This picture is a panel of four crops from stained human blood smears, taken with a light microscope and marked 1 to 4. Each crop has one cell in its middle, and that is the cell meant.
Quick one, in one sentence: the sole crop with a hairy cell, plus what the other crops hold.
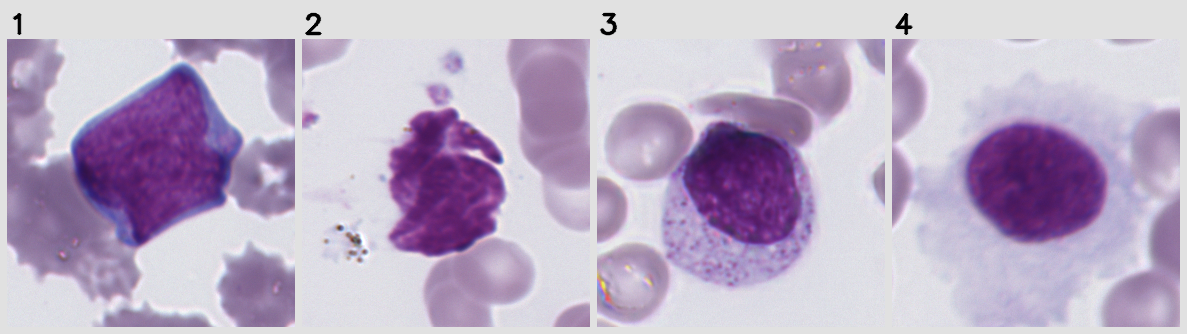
Crop 4 is recognised as a hairy cell, whereas crop 1 is a myeloblast, crop 2 is a smudge cell and crop 3 is a myelocyte.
